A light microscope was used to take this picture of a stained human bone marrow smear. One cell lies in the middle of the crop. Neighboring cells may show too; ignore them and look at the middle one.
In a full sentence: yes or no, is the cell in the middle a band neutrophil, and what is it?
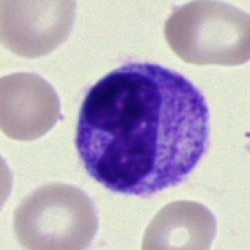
Yes, the cell in the middle of this smear crop is a band neutrophil.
